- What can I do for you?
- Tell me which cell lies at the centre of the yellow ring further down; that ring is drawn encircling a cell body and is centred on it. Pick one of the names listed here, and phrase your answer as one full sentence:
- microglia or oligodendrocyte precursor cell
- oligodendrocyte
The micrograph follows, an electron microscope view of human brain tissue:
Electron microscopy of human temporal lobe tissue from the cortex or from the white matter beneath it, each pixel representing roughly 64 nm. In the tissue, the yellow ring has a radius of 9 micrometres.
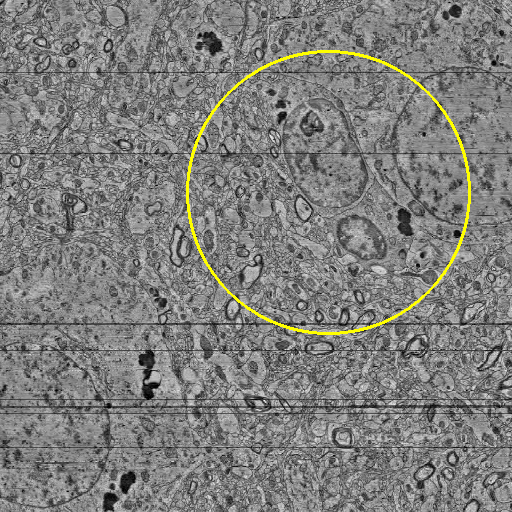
The cell whose body lies at the centre of the yellow ring is an oligodendrocyte.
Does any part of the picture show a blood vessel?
No, no blood vessel shows in the picture.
